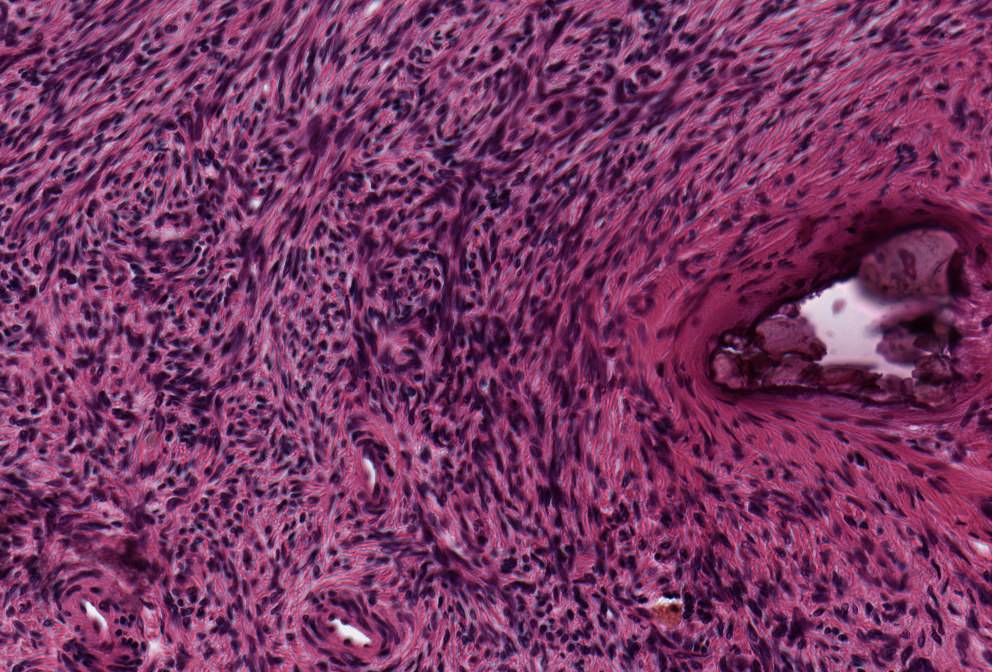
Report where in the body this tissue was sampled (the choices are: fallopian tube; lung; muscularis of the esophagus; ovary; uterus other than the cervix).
ovary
